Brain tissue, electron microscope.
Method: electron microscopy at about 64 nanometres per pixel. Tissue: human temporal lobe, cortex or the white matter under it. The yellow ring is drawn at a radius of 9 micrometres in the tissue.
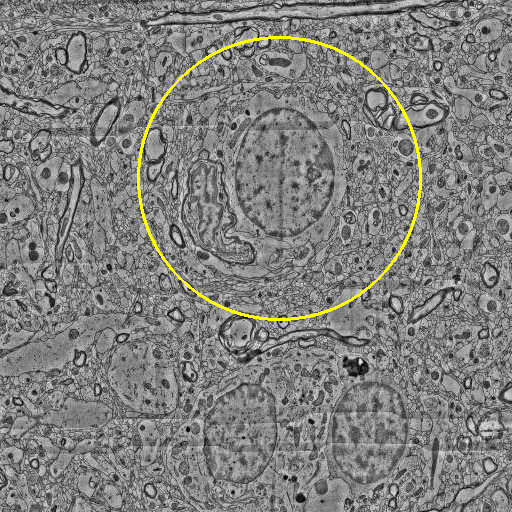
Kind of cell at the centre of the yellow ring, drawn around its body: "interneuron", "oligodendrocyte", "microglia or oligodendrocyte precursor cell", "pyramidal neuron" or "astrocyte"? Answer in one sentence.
The ring's centre falls on a microglial cell or oligodendrocyte precursor cell.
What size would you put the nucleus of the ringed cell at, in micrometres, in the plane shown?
Approximately 8 micrometres long and 6 micrometres wide, in this plane.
